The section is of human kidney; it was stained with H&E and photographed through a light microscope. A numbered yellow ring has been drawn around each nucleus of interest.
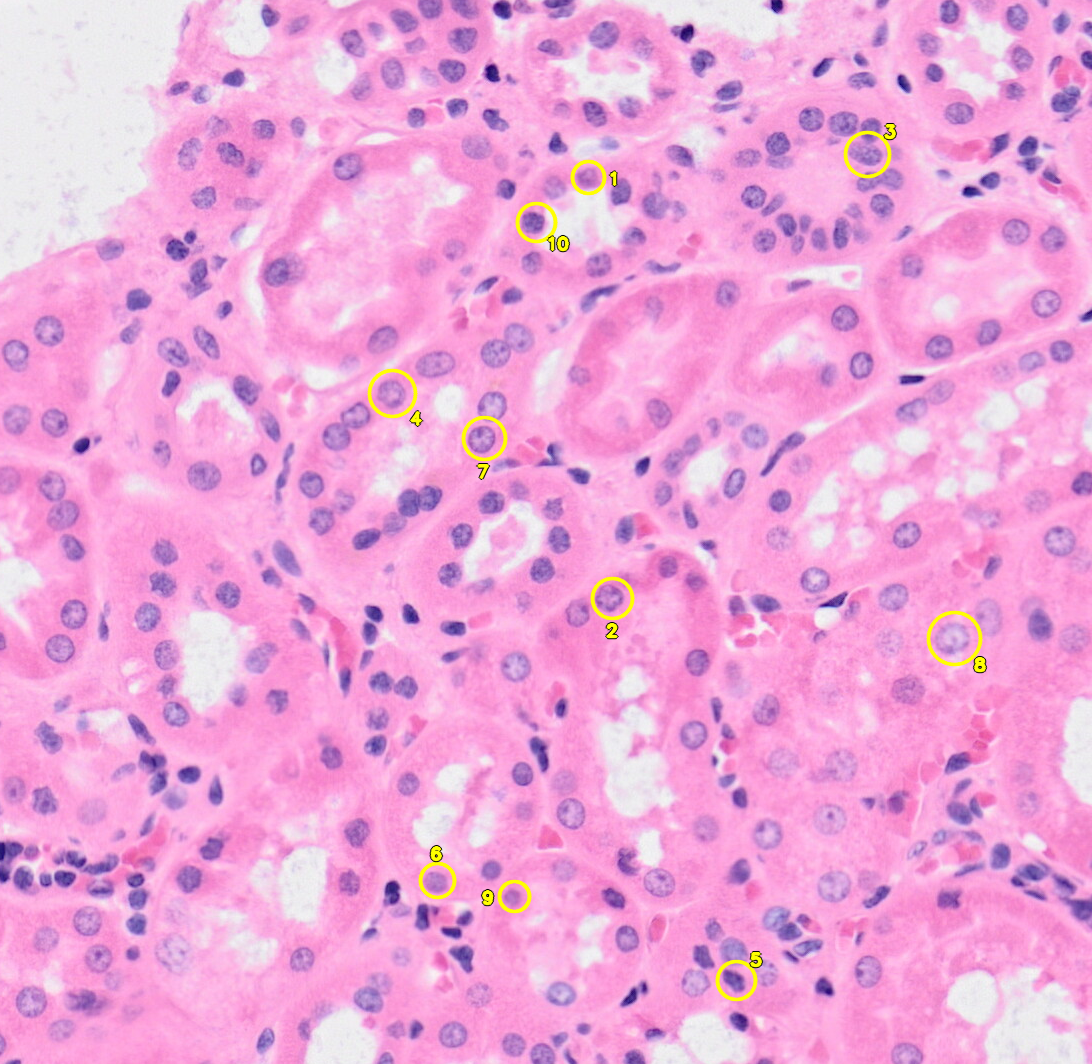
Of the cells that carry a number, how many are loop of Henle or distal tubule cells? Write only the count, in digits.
3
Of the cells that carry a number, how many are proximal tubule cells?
6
